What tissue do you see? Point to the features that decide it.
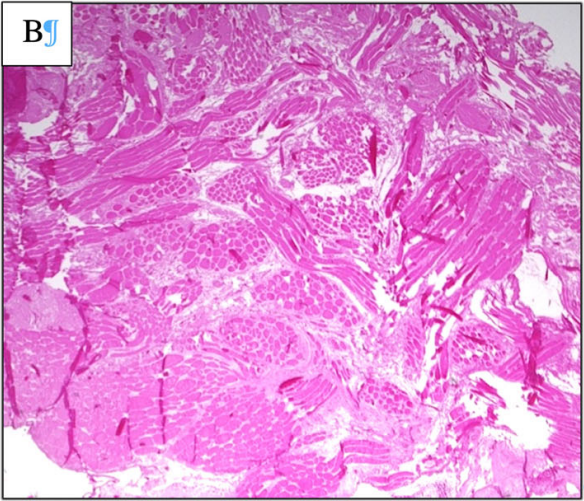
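Densely pink fibres are grouped in bundles. Some bundles are cut lengthwise as long fibres, others are cut across as packed polygonal profiles. So: muscle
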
